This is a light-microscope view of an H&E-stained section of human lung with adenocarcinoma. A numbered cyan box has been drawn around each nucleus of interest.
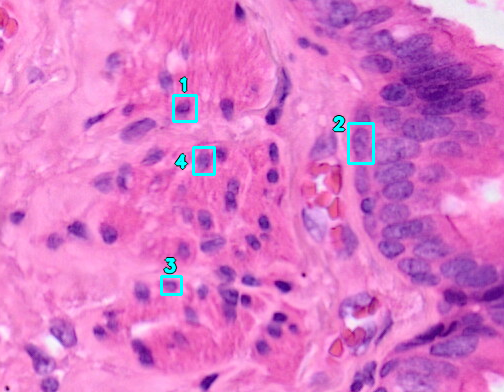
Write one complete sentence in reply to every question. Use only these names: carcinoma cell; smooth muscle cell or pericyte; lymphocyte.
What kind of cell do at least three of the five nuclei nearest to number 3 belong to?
The majority of the five nuclei closest to number 3 belong to smooth muscle cells or pericytes.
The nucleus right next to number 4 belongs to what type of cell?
The nucleus nearest to number 4 is that of a smooth muscle cell or pericyte.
